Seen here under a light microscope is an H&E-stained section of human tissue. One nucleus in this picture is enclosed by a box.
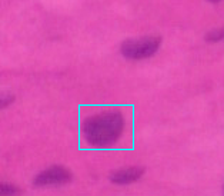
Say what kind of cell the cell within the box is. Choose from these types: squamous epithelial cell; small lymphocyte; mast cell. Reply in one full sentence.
Within this tissue, the cell within the box is a squamous epithelial cell.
